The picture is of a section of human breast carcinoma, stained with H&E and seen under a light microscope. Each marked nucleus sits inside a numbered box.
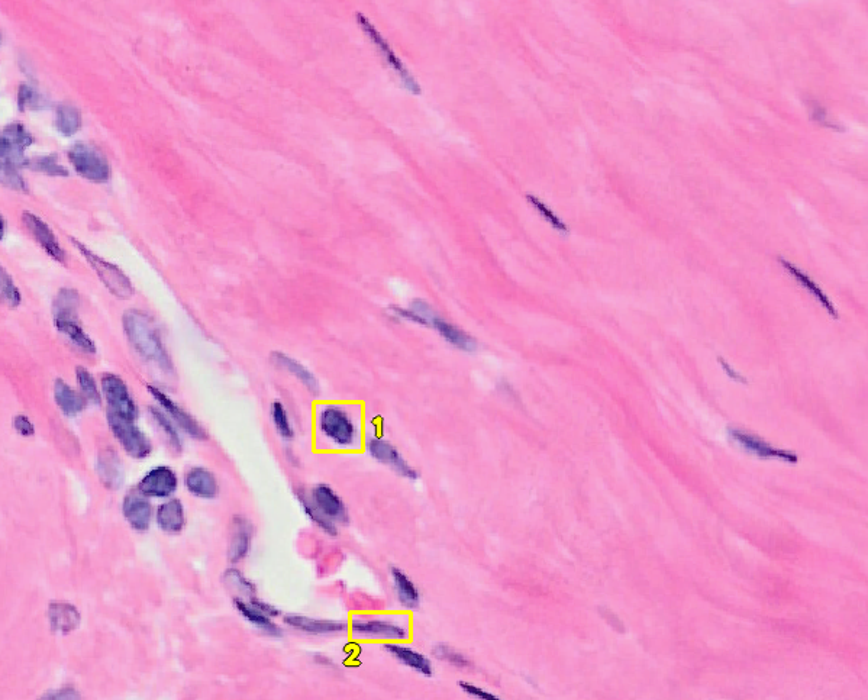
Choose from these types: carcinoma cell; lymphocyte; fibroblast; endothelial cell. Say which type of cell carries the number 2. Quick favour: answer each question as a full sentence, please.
In the tissue shown, cell 2 is an endothelial cell.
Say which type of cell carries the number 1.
The cell carrying label 1 is identified as a lymphocyte.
